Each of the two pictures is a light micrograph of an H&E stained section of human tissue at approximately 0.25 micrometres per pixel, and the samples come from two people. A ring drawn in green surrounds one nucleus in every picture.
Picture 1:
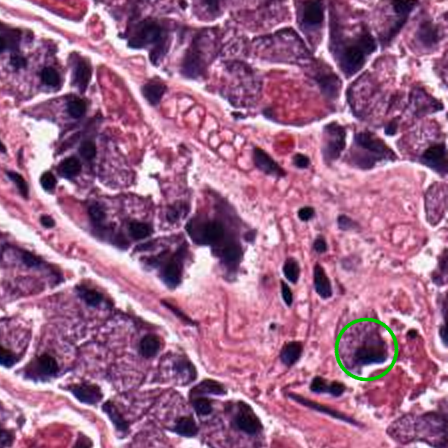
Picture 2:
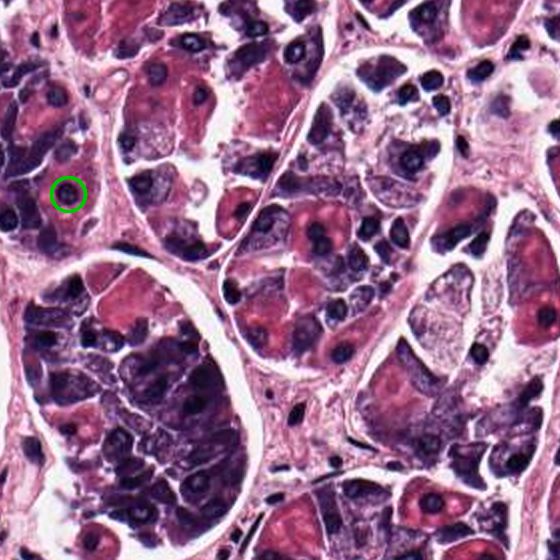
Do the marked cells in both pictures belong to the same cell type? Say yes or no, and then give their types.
No, the first is a chief cell and the second a parietal cell.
